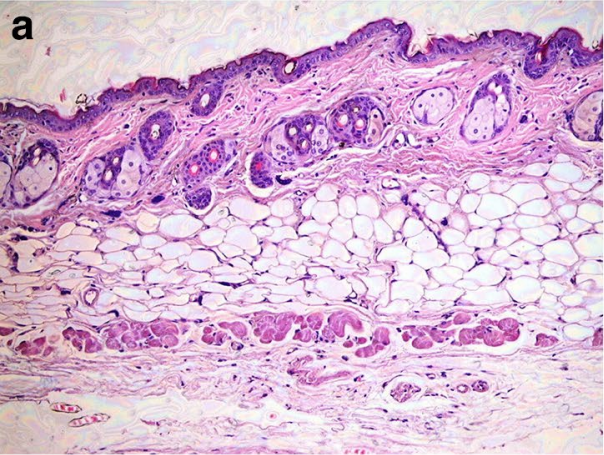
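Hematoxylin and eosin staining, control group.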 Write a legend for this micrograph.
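This is a section of skin with a thin purple epidermis on top, covered by a fine layer of pink keratin. Beneath it a narrow dermis of pink collagen holds hair follicles and clusters of pale, foamy sebaceous gland cells with round nuclei. Under the dermis lies a broad layer of large, empty-looking fat cells with thin walls. Below the fat runs a band of pink skeletal muscle fibres cut across, and under that a loose, pale connective tissue with small vessels. The layers are orderly and the dermis is thin relative to the fat, an ordinary appearance of skin.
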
